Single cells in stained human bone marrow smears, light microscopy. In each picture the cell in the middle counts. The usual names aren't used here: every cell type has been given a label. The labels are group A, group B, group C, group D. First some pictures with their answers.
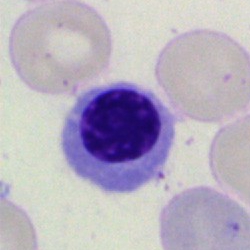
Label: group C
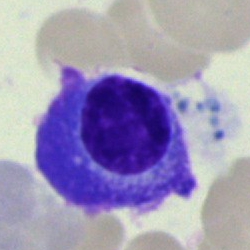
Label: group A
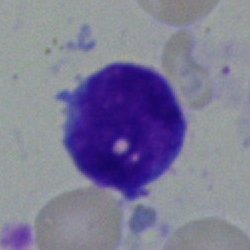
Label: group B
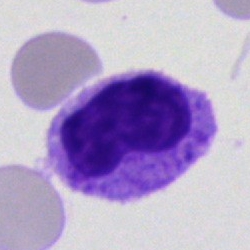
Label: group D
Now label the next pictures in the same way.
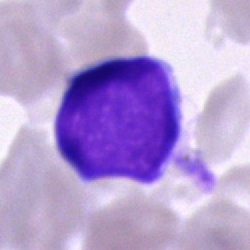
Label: group B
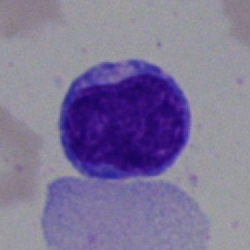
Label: group B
